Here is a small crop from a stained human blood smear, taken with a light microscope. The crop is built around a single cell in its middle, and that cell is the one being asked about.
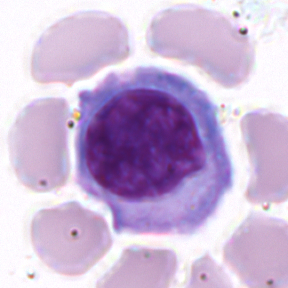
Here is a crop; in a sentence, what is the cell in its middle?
The cell occupying the middle of the crop is a plasma cell.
